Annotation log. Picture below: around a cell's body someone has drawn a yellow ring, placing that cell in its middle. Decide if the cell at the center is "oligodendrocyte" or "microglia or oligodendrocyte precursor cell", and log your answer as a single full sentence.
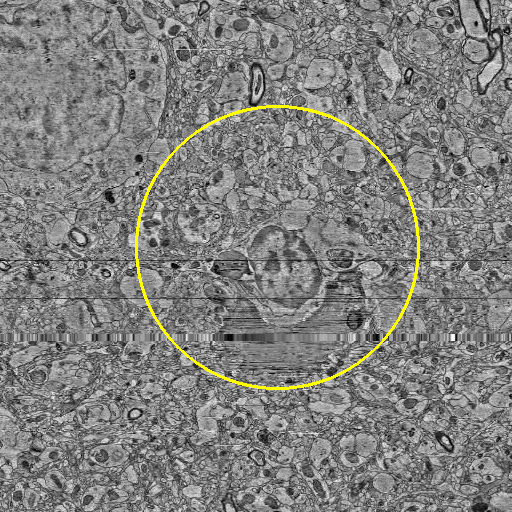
My entry records a microglial cell or oligodendrocyte precursor cell as the cell sitting at the center of the yellow ring.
